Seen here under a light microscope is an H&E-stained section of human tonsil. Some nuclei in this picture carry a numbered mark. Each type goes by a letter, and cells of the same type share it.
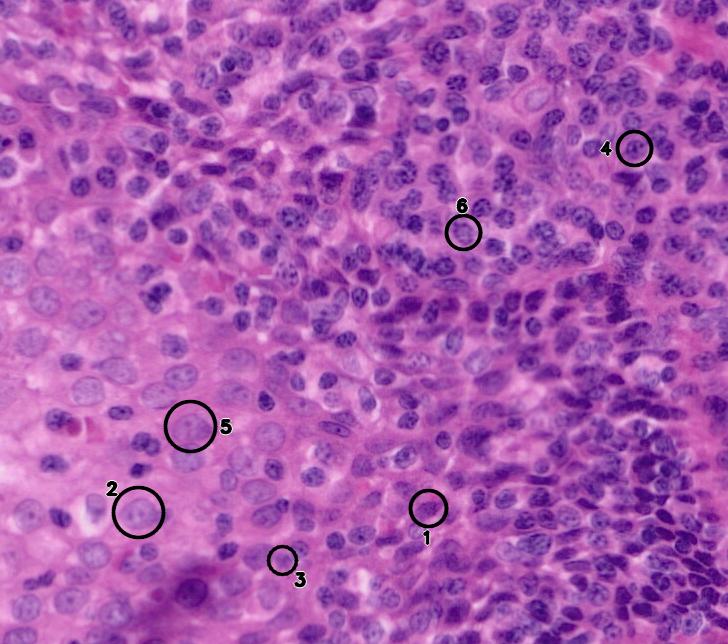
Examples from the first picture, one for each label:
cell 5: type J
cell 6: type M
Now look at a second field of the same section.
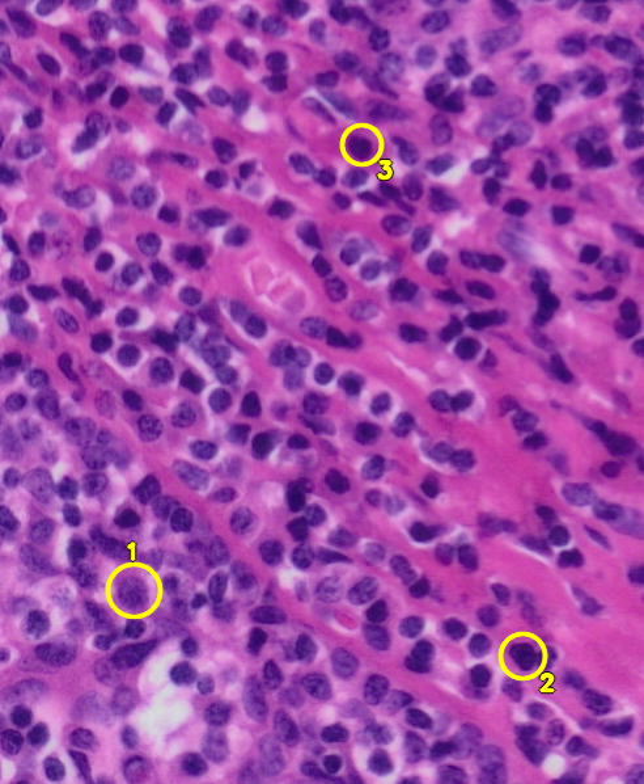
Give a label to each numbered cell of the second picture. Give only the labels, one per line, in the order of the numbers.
type J
type M
type M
